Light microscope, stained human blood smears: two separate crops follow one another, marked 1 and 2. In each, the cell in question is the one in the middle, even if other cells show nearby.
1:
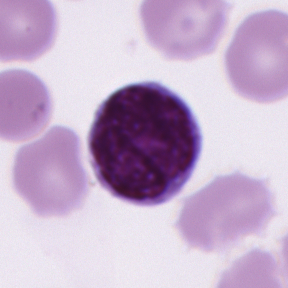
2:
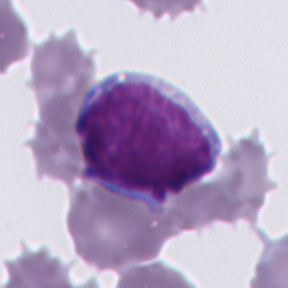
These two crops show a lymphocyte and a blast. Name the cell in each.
1: lymphocyte
2: blast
